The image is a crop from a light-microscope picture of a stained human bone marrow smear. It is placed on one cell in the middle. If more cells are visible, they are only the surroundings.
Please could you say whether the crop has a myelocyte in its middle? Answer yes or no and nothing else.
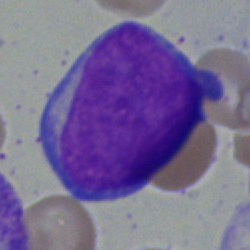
no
